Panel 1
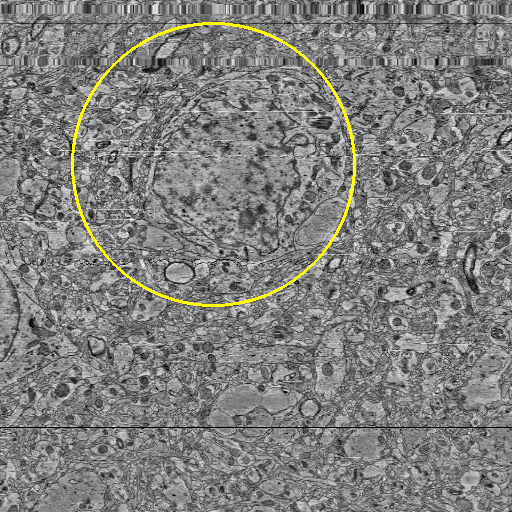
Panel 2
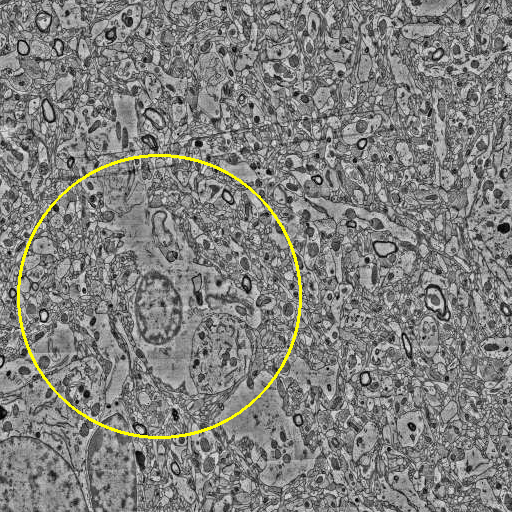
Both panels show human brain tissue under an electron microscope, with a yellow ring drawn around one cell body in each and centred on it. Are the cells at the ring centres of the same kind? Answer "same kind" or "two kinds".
two kinds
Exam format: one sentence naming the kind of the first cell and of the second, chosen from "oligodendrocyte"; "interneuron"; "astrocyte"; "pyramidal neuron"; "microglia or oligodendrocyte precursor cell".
The first picture's cell is an interneuron, and the second picture's cell is an astrocyte.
